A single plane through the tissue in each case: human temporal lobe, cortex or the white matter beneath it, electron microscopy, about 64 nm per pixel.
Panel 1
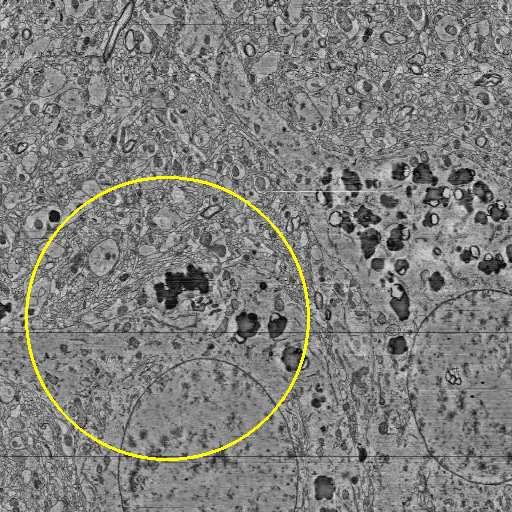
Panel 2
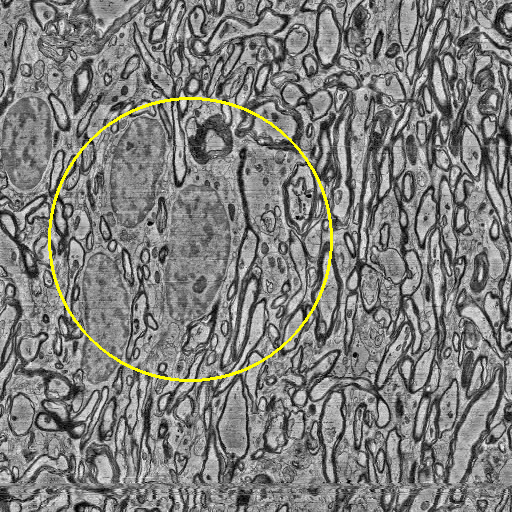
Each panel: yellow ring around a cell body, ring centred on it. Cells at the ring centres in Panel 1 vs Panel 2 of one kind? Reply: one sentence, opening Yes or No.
Yes, Panel 1 and Panel 2 have cells of one kind at the ring centres.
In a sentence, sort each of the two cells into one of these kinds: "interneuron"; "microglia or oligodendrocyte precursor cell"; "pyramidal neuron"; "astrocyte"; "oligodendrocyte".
Both the first and the second picture show an oligodendrocyte in the ring.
